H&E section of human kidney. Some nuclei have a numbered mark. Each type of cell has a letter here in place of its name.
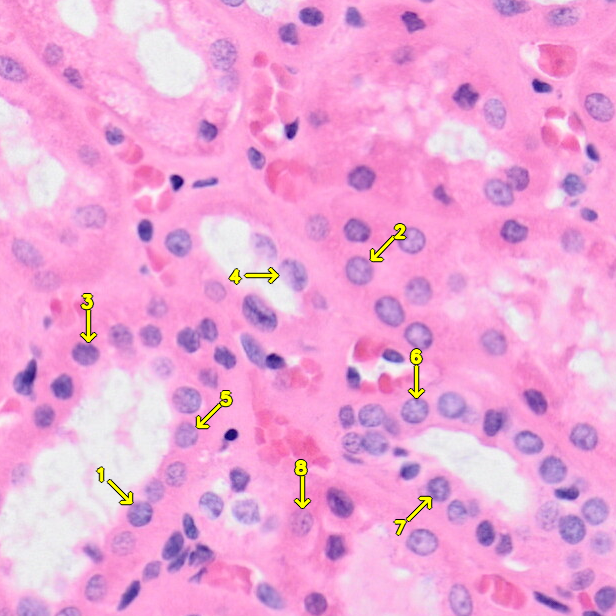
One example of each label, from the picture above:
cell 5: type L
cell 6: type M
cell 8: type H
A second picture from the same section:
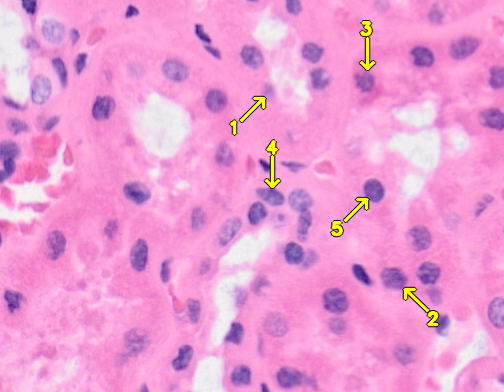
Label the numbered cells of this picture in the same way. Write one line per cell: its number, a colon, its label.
1: type L
2: type H
3: type H
4: type M
5: type H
